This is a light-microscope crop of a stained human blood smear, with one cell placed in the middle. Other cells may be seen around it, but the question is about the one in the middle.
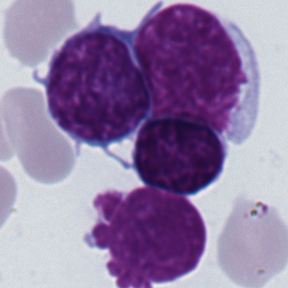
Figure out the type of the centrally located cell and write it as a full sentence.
The central cell, amid any neighbouring cells, is a blast.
